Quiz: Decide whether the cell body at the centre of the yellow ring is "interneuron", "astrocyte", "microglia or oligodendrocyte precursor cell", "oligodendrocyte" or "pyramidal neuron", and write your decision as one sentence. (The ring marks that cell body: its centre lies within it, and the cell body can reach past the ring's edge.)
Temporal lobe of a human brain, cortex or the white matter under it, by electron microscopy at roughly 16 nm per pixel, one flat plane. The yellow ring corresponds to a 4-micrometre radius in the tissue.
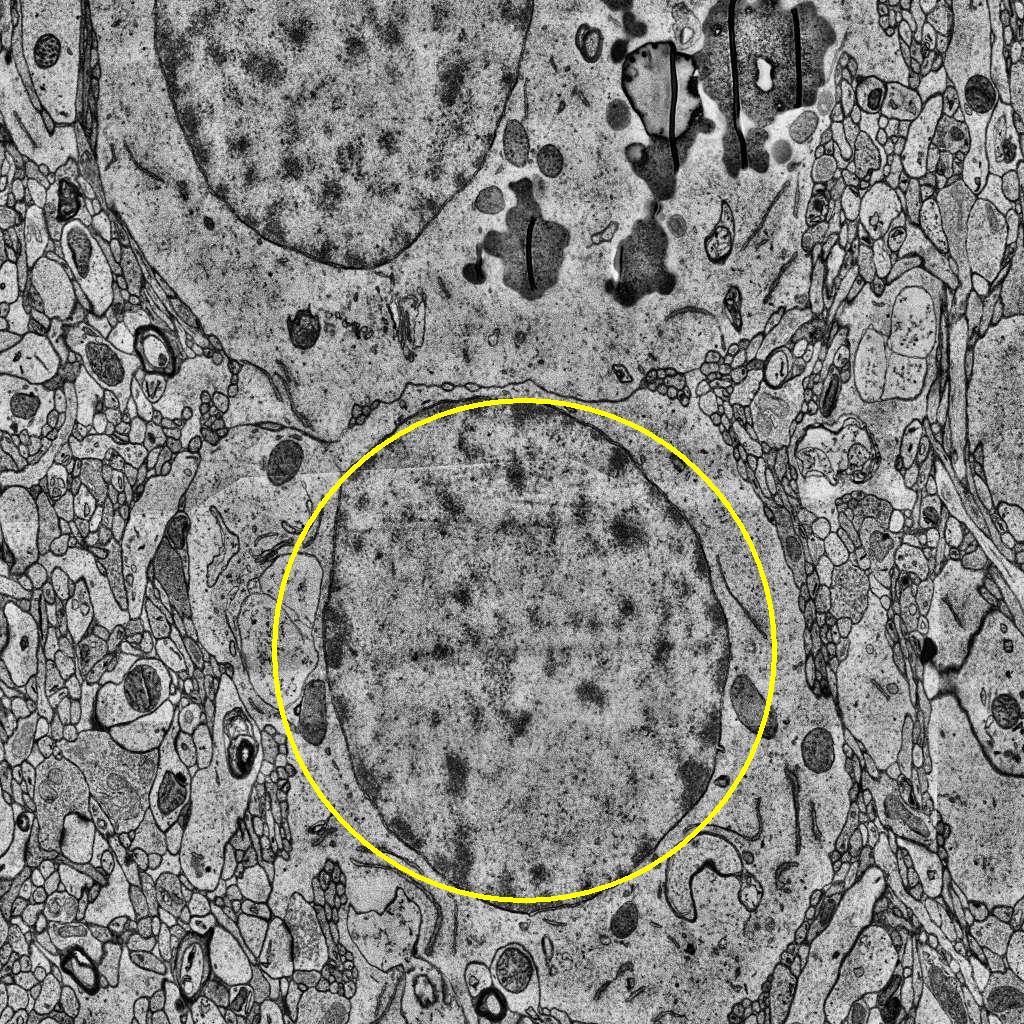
The cell holding the ring's centre is an astrocyte.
